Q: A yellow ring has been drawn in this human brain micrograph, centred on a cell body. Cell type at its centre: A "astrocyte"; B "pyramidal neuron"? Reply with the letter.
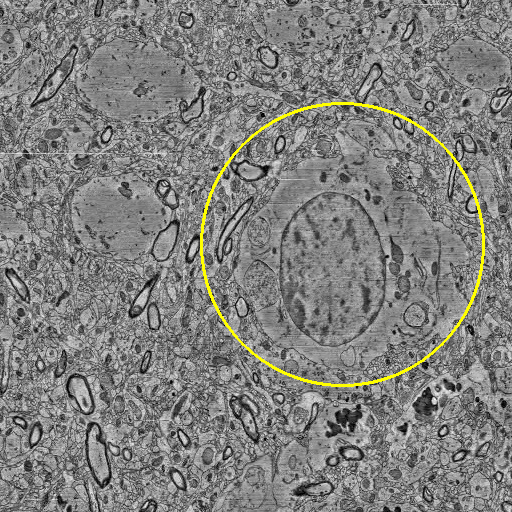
A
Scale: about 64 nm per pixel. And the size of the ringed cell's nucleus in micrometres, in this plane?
In this plane the nucleus is about 10 micrometres by 7.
